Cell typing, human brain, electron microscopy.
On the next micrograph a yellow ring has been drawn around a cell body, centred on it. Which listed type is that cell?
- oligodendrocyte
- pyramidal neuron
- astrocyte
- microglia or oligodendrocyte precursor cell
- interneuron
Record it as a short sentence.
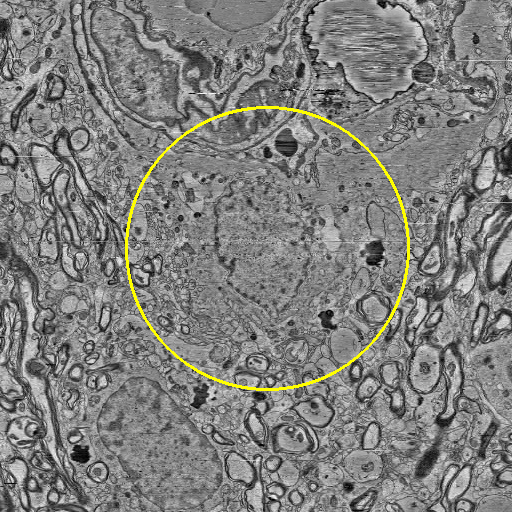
The cell body in the ring's centre belongs to an astrocyte.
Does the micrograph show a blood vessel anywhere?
Yes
